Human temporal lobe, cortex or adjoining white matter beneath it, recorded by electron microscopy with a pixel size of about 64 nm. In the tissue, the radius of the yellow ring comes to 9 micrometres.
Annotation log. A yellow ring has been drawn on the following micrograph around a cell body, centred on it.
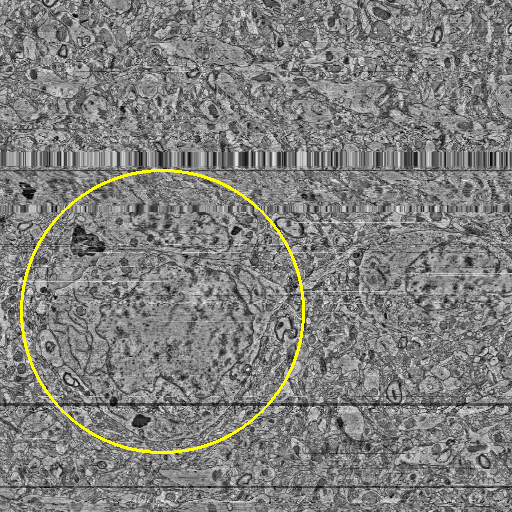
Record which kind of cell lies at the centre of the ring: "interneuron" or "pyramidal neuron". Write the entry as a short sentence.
The cell the ring is centred on is an interneuron.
